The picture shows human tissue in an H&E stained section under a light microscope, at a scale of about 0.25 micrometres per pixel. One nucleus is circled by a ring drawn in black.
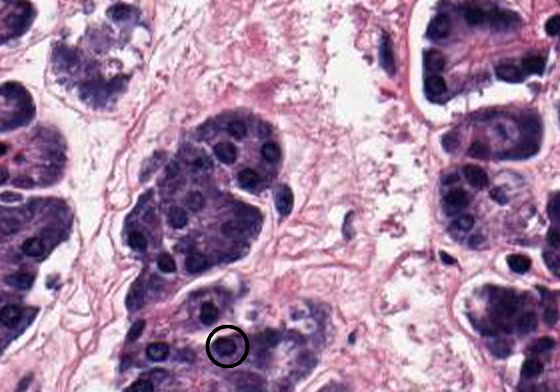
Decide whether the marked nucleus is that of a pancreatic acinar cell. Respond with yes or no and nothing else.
yes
